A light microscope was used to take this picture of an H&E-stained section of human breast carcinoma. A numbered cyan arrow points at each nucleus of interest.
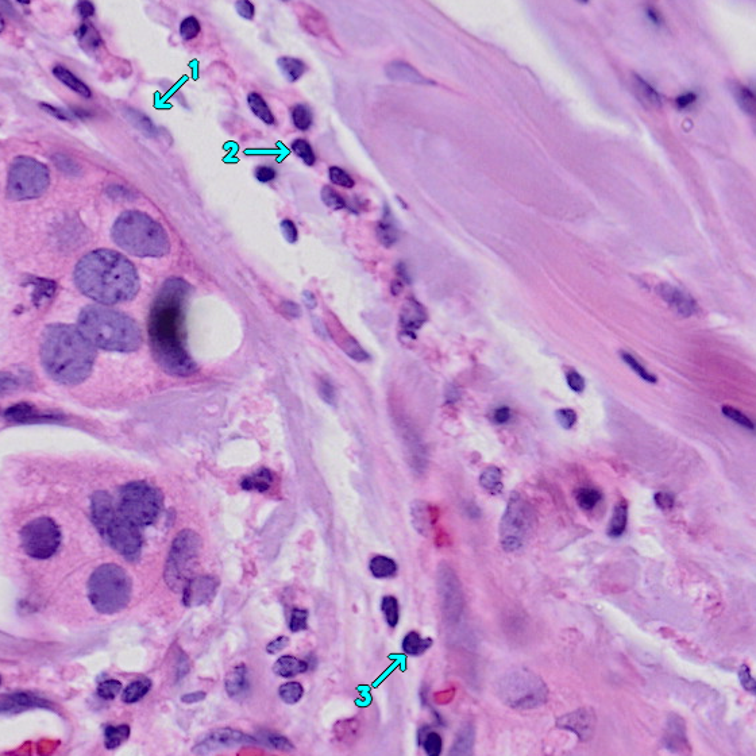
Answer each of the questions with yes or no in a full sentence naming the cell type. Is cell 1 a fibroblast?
Yes, the numbered cell 1 is a fibroblast.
